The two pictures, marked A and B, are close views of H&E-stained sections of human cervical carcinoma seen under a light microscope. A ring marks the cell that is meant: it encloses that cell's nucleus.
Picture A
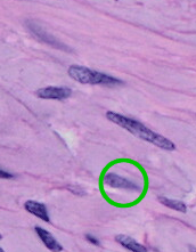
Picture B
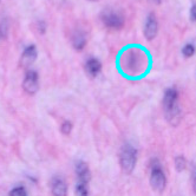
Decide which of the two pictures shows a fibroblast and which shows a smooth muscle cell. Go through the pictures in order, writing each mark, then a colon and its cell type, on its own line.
A: fibroblast
B: smooth muscle cell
